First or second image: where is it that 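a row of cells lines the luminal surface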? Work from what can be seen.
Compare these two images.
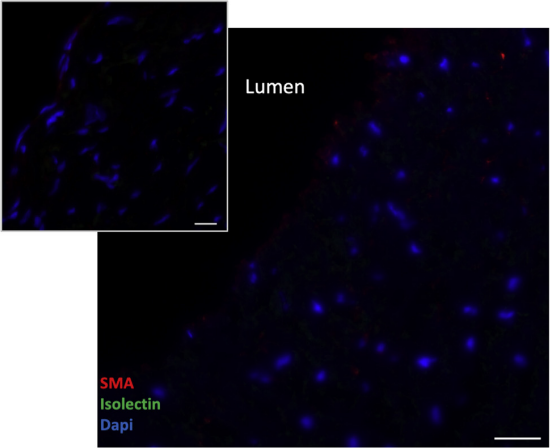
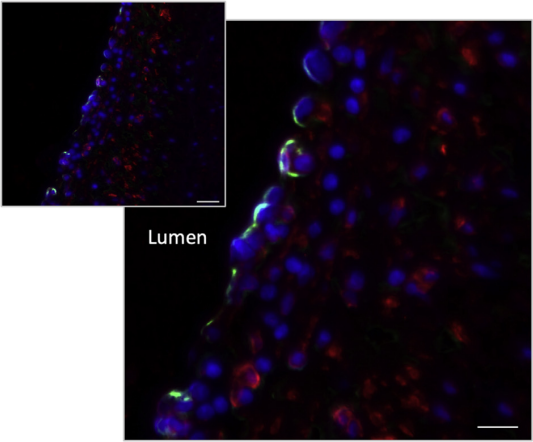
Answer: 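First image: the luminal edge shows no green-outlined cell layer and few red cells. Second image: green-outlined cells line the luminal edge, with many red-stained cells in the wall beneath.
Conclusion: the second image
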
